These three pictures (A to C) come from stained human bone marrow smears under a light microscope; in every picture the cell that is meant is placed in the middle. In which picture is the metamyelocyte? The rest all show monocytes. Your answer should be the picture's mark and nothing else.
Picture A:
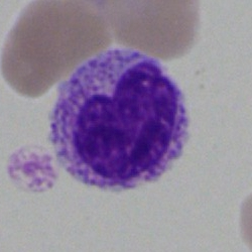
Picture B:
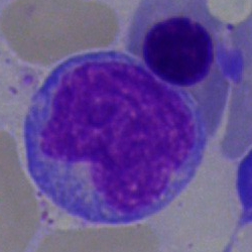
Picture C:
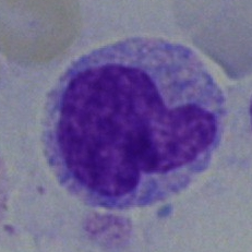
A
